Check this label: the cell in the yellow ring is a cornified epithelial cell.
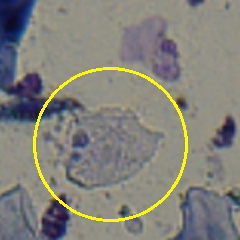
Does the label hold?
The label holds; the cell is a cornified epithelial cell.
